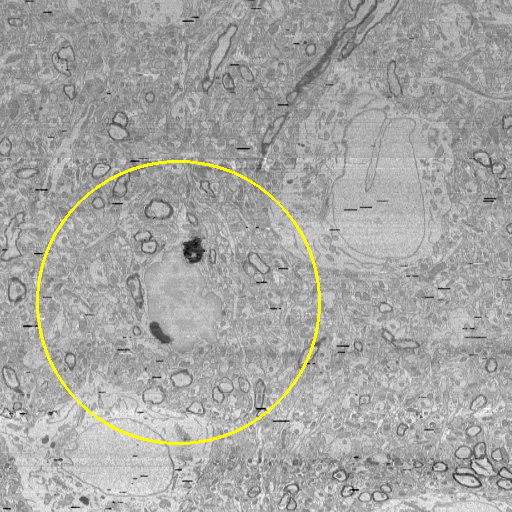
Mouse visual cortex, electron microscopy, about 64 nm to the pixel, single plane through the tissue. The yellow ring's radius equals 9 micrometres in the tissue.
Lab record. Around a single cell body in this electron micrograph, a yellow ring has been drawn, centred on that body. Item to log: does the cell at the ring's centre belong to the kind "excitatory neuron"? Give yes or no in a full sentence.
No, in the micrograph, the ringed cell at the centre belongs to a different kind.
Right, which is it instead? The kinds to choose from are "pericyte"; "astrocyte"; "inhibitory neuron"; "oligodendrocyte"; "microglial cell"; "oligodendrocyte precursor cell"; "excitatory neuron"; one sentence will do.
What the ring encloses here is a microglial cell.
